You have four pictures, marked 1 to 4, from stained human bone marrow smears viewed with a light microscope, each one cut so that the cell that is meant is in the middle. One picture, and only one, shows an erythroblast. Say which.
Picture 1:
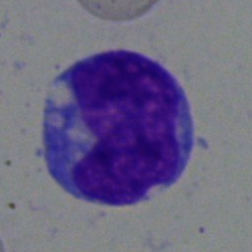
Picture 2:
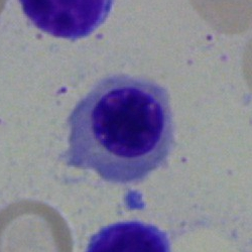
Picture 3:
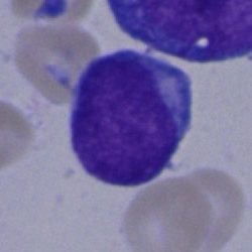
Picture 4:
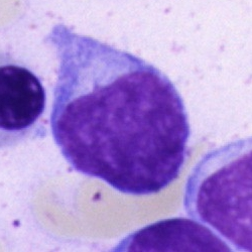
2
